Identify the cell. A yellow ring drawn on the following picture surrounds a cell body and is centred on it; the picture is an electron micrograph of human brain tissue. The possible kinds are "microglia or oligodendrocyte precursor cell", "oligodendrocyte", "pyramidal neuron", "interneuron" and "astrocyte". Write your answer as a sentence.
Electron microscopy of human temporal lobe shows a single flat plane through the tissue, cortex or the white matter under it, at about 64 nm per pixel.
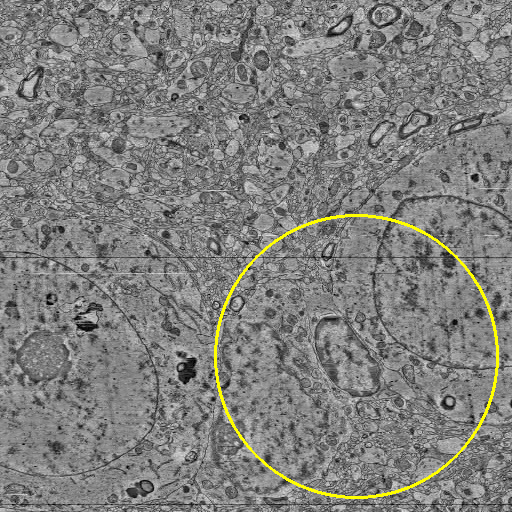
The cell identified by the ring is a microglial cell or oligodendrocyte precursor cell.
